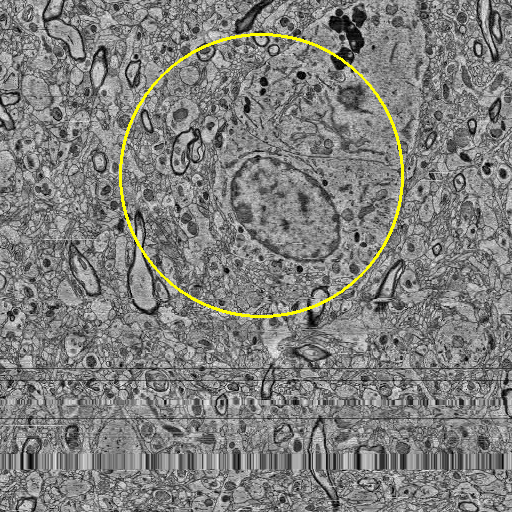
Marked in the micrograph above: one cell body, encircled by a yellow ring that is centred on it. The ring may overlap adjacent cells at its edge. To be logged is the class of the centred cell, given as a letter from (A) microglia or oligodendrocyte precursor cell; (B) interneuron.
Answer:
A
